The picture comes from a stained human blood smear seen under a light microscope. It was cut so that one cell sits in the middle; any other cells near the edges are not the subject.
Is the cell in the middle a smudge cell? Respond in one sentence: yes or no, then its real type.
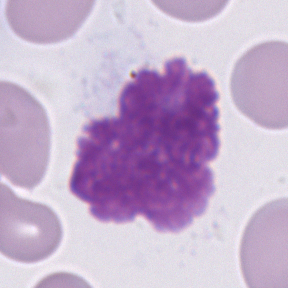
Yes, the cell in the middle of this smear crop is a smudge cell.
